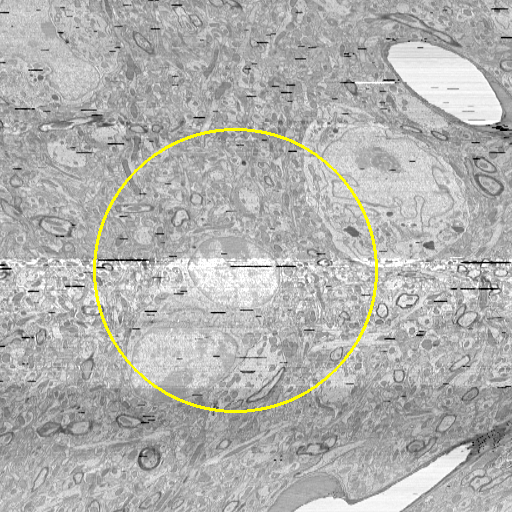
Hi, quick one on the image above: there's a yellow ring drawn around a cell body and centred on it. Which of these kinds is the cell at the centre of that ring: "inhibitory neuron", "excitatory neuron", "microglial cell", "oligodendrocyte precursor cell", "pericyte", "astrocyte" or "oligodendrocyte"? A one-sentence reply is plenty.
The cell at the centre of the ring is an oligodendrocyte.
